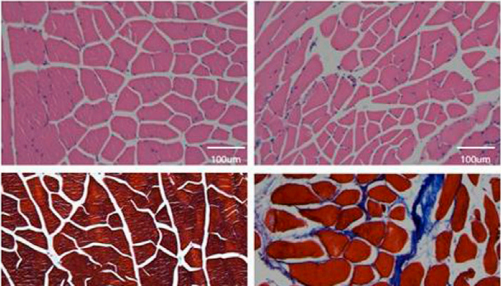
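Cross-sections of skeletal muscle show myofibres cut transversely, stained pink with small purple nuclei at their edges in the upper sections and red in the lower sections. In the left column the fibres are polygonal, tightly packed and separated only by thin pale clefts. In the right column many fibres are smaller and more rounded, and the spaces between them are wider. In the lower right section, blue-stained connective tissue fills broad bands between the red fibres. Such blue bands are hardly seen in the lower left section.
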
